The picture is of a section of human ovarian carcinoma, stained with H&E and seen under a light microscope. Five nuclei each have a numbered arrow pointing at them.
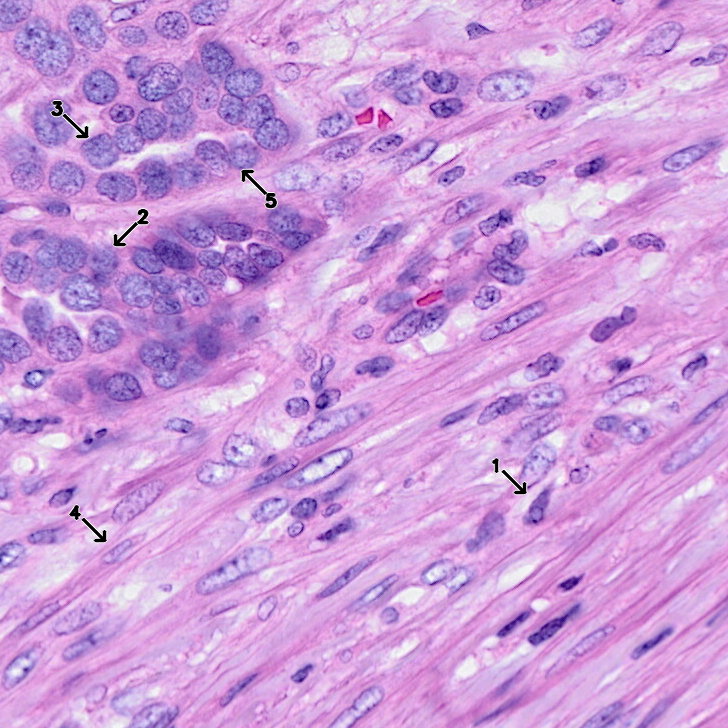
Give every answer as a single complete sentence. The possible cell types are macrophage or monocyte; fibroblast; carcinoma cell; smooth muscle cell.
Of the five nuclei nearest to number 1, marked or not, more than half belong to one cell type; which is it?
Of the five nuclei nearest to number 1, most belong to fibroblasts.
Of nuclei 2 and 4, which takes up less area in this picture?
Nucleus 4 covers less area, with nucleus 2 about 2 times as large.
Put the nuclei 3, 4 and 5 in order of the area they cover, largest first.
The nuclei rank 5, 3, 4, from largest to smallest.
